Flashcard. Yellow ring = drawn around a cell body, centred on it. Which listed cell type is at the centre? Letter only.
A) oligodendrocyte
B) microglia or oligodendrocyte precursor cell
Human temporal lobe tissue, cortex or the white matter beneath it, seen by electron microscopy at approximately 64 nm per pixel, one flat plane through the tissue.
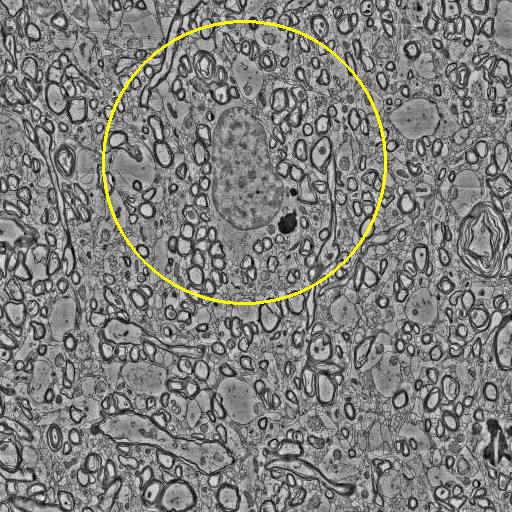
A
